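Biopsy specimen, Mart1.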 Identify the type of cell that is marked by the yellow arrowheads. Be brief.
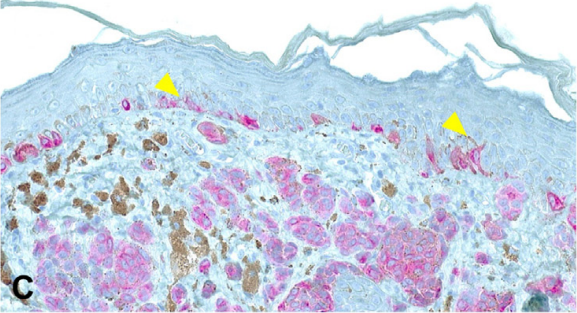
Junctional melanocytes.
